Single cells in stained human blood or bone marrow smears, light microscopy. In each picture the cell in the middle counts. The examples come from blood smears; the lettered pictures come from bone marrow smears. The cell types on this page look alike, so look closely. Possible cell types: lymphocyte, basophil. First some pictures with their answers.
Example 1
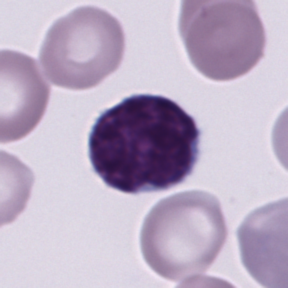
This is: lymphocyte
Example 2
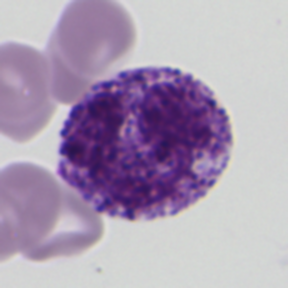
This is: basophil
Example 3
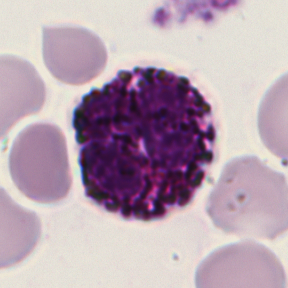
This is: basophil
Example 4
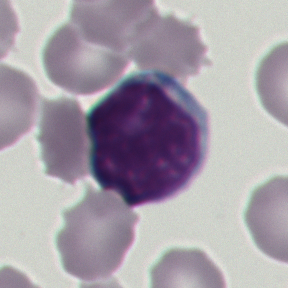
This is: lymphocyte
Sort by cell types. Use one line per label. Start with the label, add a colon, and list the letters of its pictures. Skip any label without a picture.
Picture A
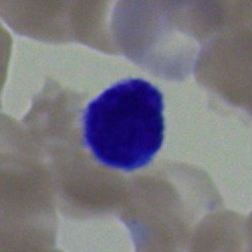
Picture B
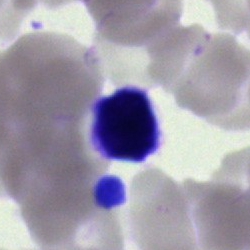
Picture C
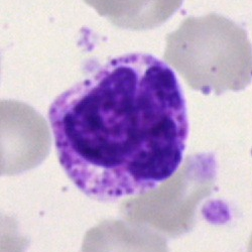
lymphocyte: A, B
basophil: C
